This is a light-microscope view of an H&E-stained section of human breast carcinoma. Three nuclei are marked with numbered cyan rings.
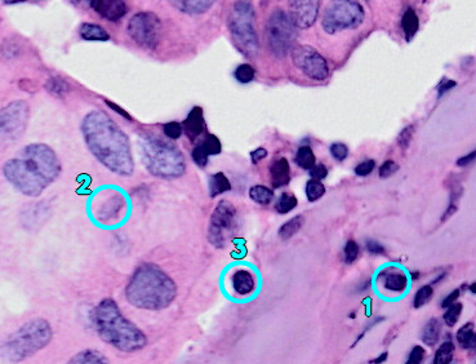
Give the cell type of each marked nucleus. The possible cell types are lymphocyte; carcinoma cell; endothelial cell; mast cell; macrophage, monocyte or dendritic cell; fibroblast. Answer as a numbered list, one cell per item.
1. lymphocyte
2. carcinoma cell
3. lymphocyte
